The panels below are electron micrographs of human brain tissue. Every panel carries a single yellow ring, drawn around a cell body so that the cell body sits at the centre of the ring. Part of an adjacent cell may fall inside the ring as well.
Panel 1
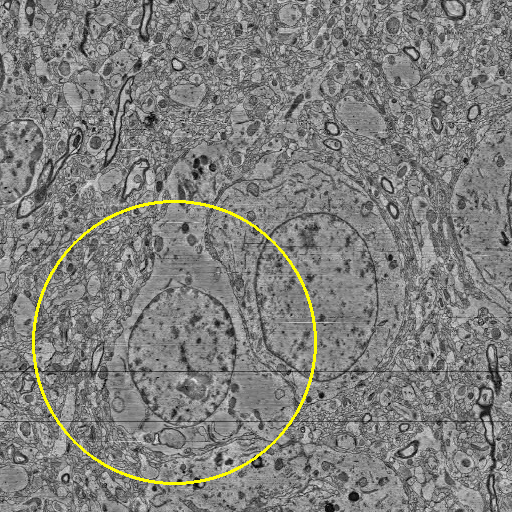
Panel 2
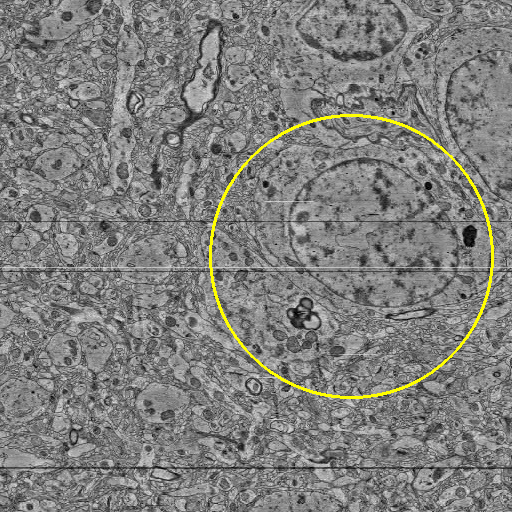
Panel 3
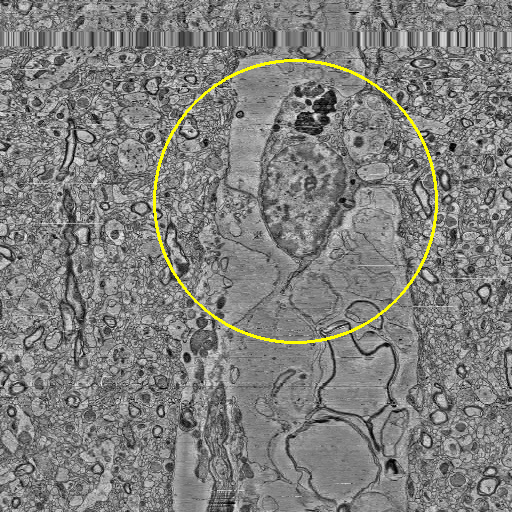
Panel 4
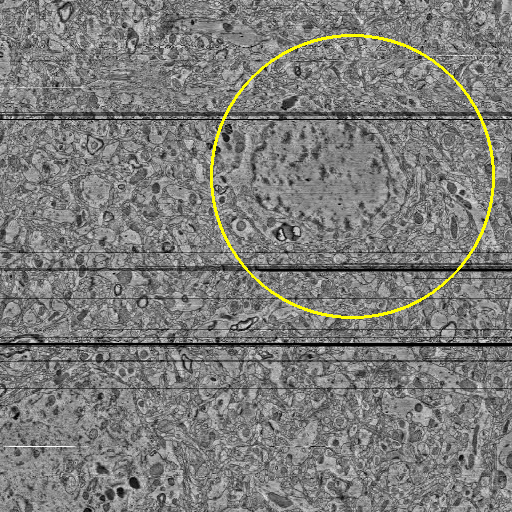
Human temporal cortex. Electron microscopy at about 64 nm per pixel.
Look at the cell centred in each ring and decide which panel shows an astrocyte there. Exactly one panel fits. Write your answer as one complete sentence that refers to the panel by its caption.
Panel 1 has it at the centre of its ring.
